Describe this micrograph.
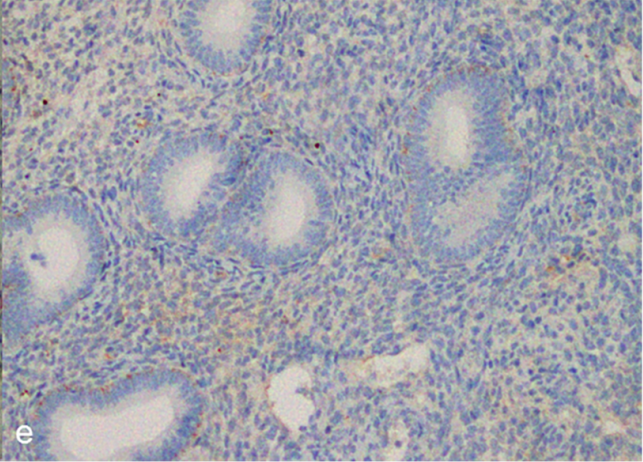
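This is endometrium showing glands set in endometrial stroma, with almost no brown-stained cells. The glands are round to oval and are lined by a single layer of tall columnar cells whose elongated blue nuclei sit crowded side by side, giving a pseudostratified look. Their lumens are open and clear. Between the glands the stroma is dense, packed with small cells having oval blue nuclei and scant cytoplasm.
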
